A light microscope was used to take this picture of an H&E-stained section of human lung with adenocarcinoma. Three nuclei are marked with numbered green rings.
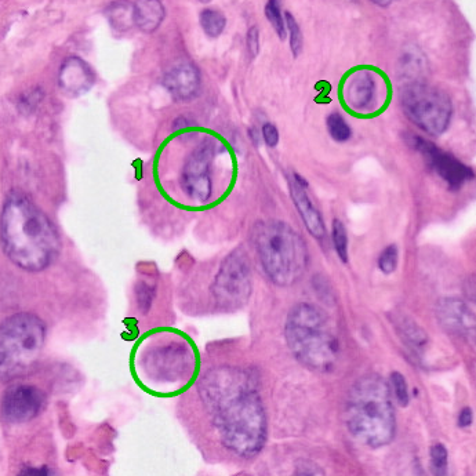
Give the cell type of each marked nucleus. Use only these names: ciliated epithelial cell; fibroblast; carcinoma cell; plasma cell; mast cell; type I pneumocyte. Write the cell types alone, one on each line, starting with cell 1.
carcinoma cell
fibroblast
carcinoma cell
